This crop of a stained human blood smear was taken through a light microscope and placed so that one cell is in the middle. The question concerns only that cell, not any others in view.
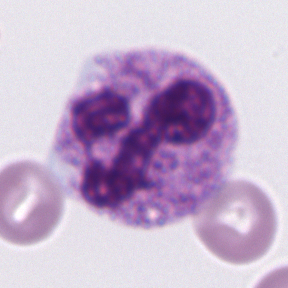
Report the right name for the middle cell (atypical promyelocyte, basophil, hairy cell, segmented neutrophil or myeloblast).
segmented neutrophil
